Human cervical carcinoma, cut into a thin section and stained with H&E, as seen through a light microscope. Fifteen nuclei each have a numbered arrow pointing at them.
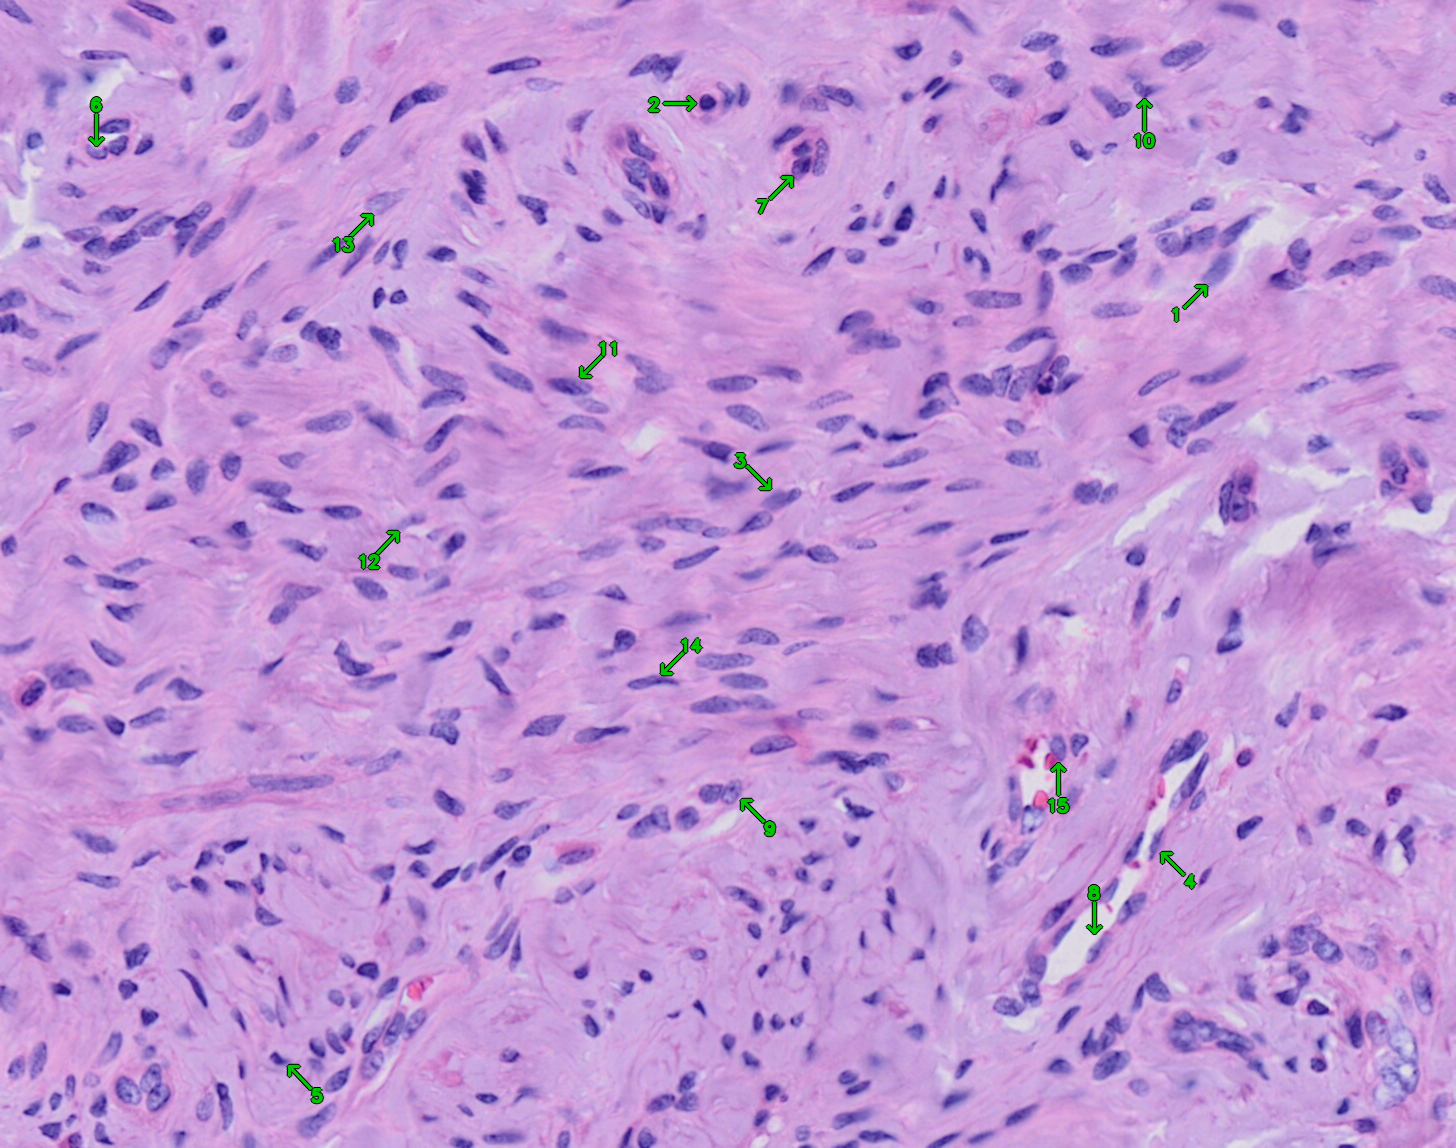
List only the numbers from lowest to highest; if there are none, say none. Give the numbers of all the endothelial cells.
2, 4, 6, 7, 8, 9, 15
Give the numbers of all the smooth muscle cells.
13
